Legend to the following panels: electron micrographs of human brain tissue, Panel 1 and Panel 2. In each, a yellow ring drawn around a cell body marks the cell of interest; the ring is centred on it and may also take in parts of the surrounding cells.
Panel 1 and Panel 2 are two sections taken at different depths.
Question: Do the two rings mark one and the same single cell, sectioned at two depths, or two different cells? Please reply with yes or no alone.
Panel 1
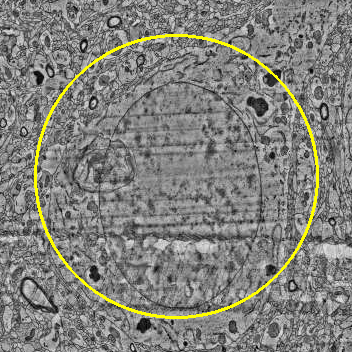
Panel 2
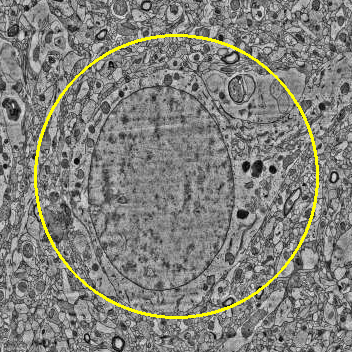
no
